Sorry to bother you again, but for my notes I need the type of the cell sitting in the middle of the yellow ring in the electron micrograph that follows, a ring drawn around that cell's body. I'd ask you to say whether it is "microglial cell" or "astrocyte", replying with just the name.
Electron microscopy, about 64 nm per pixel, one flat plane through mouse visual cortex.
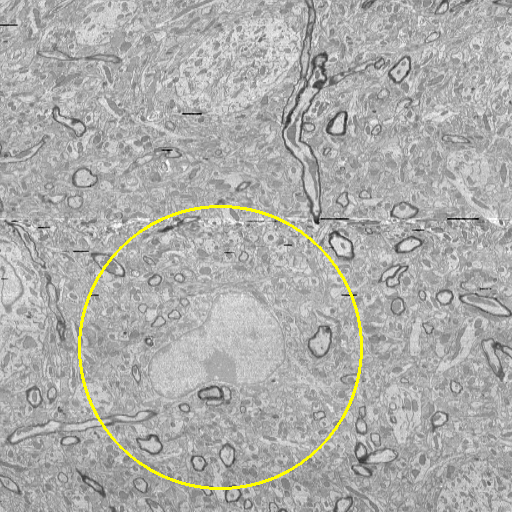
astrocyte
